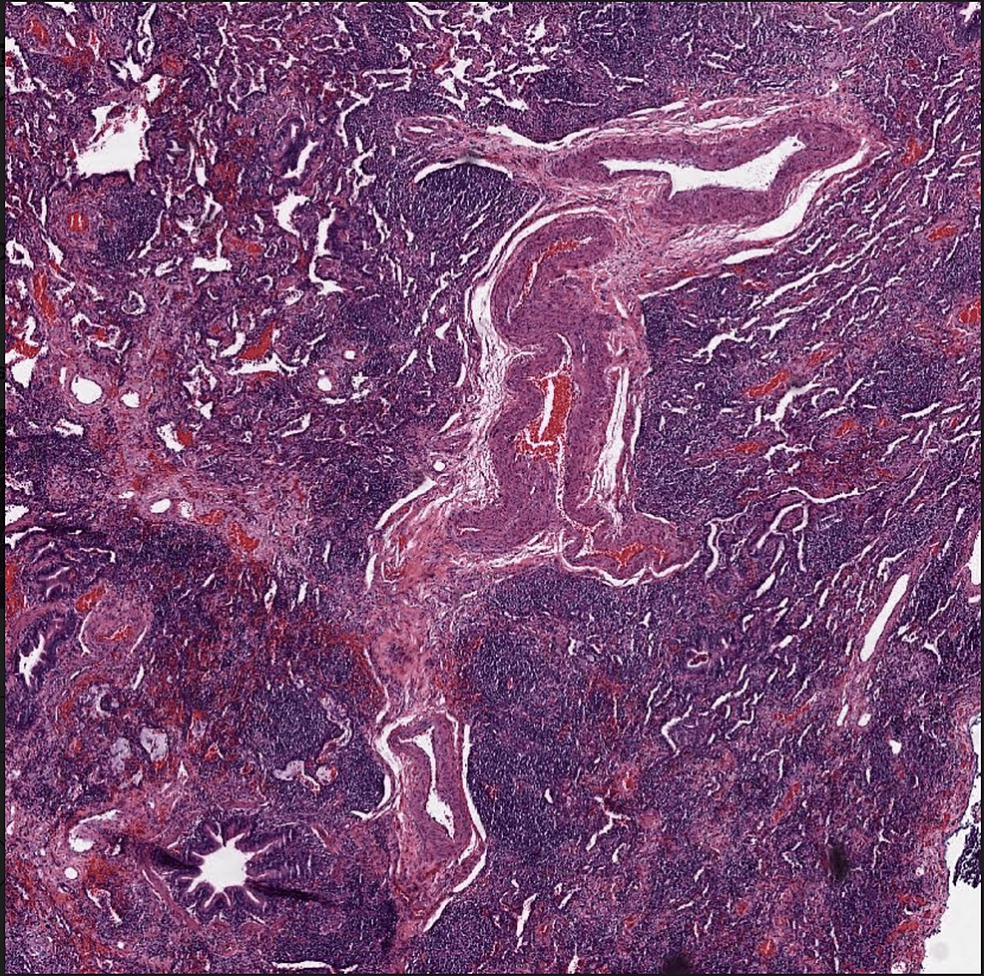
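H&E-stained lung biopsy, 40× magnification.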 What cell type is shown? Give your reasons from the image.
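Lymphocytes. The infiltrate is made of densely packed small, dark-blue round nuclei.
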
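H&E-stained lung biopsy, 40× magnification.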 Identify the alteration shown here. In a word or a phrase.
Interstitial expansion by variably dense inflammatory infiltrate.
